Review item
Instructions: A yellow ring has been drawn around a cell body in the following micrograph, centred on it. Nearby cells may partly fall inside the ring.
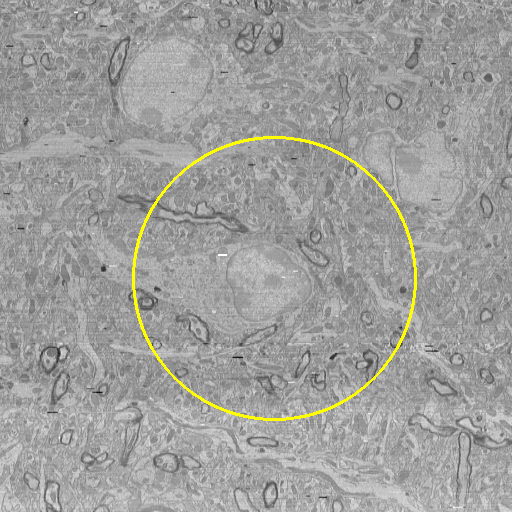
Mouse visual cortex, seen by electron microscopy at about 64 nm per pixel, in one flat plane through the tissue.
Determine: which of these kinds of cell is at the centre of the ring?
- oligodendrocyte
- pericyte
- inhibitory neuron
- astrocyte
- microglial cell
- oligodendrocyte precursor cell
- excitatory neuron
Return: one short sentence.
The cell body in the middle of the ring is that of an oligodendrocyte.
